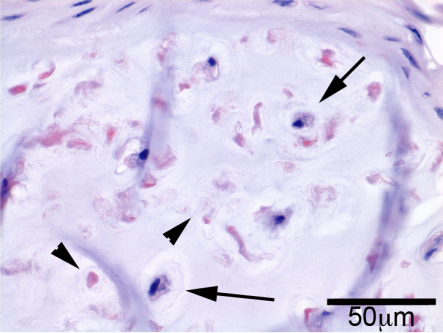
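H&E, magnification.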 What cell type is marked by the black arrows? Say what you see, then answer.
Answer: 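Round cells with a dark nucleus in a clear halo. Little cytoplasm and no large vacuoles. So: rounded cells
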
